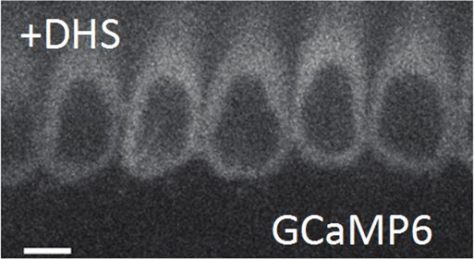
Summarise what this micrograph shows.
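The cells are flask-shaped, narrow at the top and rounded at the base, and stand evenly spaced side by side. Each has a large dark round nucleus in its lower part, surrounded by a brighter rim of cytoplasm that extends into the narrower upper part of the cell. Below the row lies a dark band without fluorescent cells.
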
